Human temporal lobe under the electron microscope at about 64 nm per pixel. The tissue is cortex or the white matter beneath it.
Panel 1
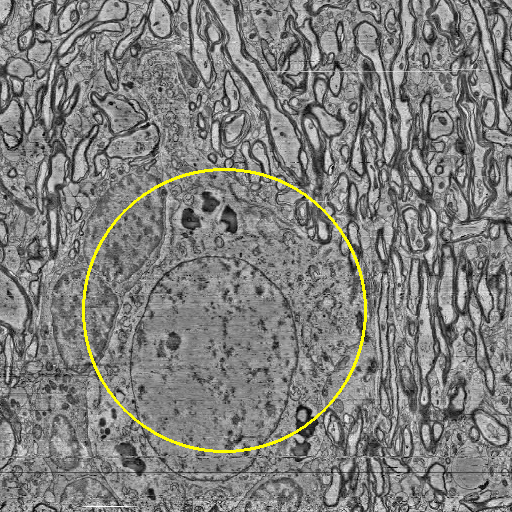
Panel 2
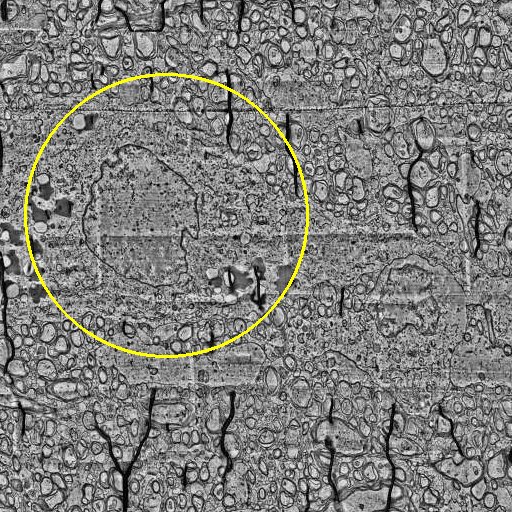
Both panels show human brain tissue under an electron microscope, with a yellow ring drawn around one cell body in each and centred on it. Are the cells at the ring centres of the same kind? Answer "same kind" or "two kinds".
same kind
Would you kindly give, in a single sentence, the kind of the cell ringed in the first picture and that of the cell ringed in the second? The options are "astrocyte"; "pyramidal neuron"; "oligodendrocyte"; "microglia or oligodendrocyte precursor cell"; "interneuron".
Each of the two pictures has a pyramidal neuron at the ring centre.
